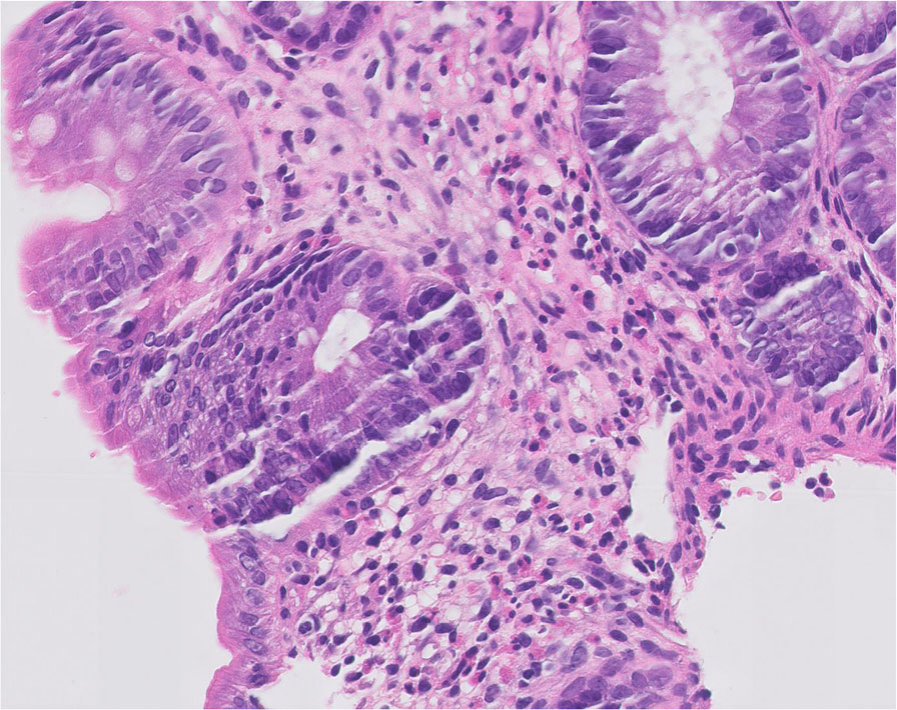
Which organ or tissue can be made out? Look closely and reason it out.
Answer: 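Loose connective tissue lies between glands lined by tall columnar epithelium. This stroma is crowded with inflammatory cells. On this evidence: lamina propria.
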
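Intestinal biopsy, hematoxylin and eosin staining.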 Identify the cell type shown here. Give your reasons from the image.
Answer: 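Eosinophils. Many small round cells in the stroma between the glands have bright pink cytoplasm. These cells have small dark nuclei, some appearing lobed.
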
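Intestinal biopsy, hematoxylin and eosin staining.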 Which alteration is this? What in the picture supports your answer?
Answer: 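Many of the infiltrating cells have pink granular cytoplasm. That points to this answer: diffuse and massive infiltration of eosinophils.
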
